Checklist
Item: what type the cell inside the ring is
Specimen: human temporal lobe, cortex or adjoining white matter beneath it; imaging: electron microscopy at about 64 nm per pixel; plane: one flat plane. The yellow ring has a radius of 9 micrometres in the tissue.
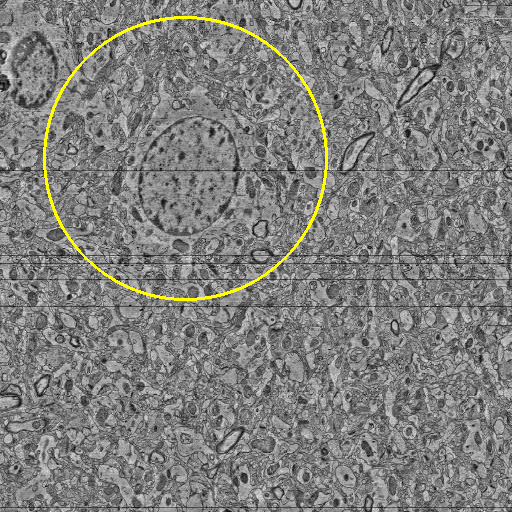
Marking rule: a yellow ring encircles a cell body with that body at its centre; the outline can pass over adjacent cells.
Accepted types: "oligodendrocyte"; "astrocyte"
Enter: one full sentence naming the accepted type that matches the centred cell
The entry is that an astrocyte lies at the centre of the yellow ring.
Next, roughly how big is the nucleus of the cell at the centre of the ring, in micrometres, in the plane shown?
The nucleus of the ringed cell is approximately 8 by 6 micrometres in this plane.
